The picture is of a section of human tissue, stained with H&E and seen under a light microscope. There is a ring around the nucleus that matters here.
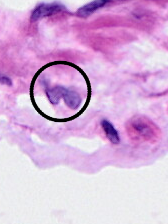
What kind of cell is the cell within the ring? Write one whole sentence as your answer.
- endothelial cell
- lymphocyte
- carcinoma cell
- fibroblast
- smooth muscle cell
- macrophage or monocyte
With respect to cell type, the cell within the ring is a macrophage or monocyte.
